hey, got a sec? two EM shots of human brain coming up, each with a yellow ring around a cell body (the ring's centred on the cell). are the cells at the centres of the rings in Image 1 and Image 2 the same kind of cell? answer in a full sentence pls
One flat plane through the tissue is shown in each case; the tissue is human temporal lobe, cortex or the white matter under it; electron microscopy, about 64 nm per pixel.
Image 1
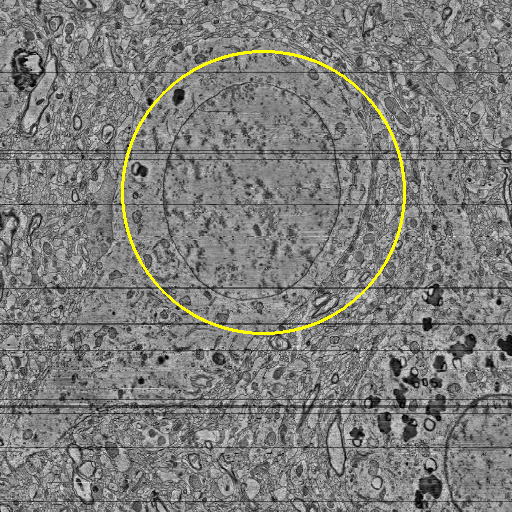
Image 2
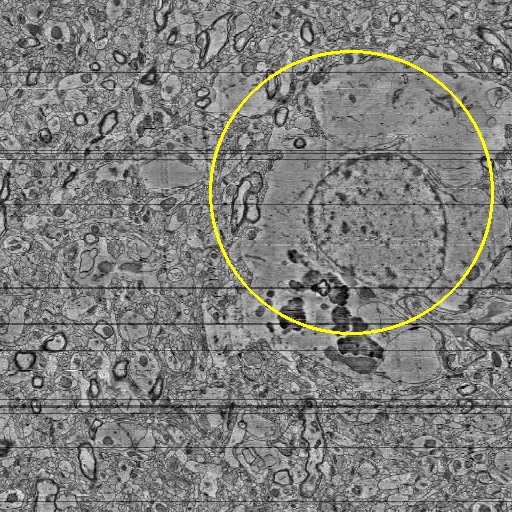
No, they are two kinds of cell.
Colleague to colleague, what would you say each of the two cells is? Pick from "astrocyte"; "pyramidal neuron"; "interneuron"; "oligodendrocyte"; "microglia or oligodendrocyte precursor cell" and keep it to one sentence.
The cell in the first picture is a pyramidal neuron; the second picture's cell is an astrocyte.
